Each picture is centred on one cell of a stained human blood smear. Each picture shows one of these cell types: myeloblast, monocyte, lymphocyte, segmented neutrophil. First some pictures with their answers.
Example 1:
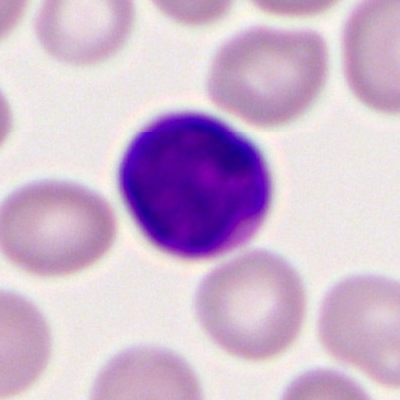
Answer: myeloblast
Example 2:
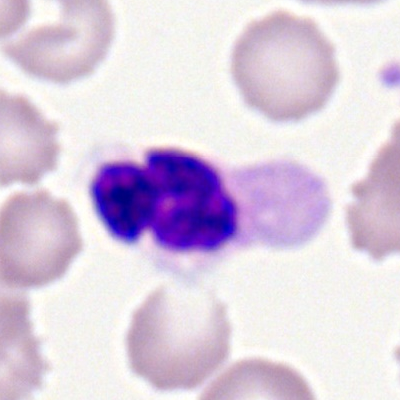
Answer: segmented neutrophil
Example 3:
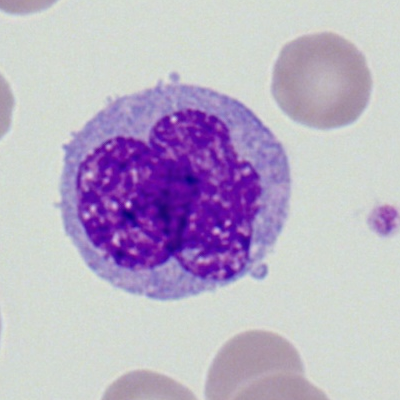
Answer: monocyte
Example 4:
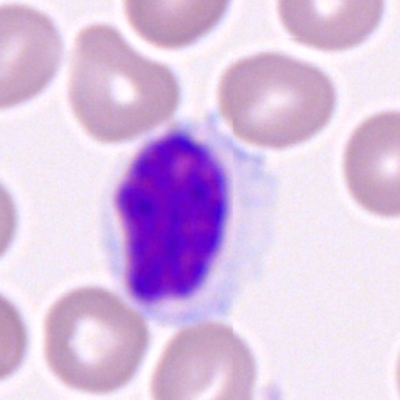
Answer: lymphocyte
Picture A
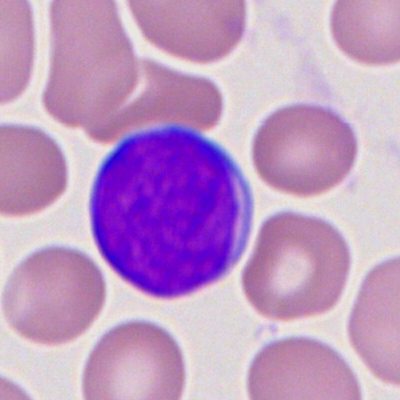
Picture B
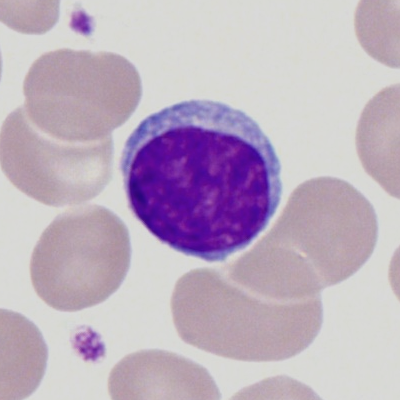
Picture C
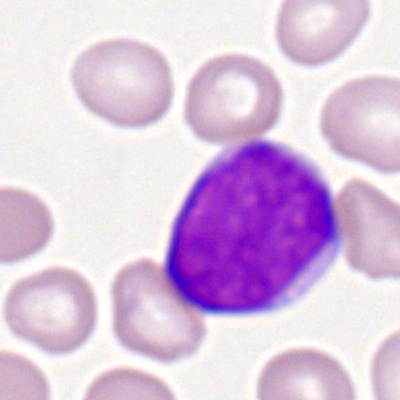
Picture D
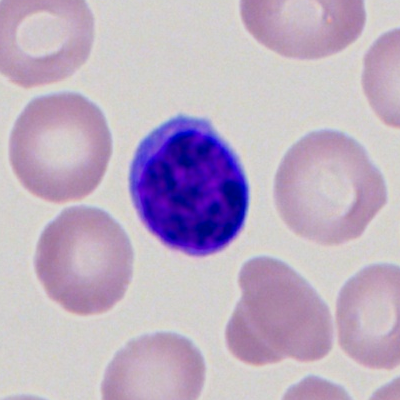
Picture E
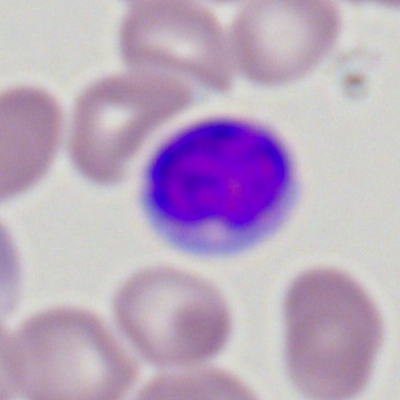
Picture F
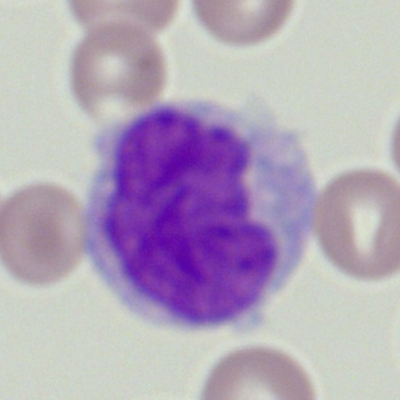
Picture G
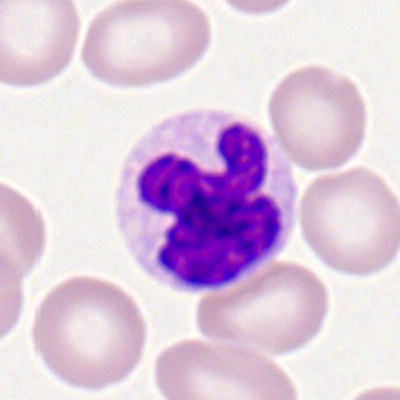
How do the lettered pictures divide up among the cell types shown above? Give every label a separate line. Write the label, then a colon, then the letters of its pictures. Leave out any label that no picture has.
myeloblast: A, C
monocyte: F
lymphocyte: B, D, E
segmented neutrophil: G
